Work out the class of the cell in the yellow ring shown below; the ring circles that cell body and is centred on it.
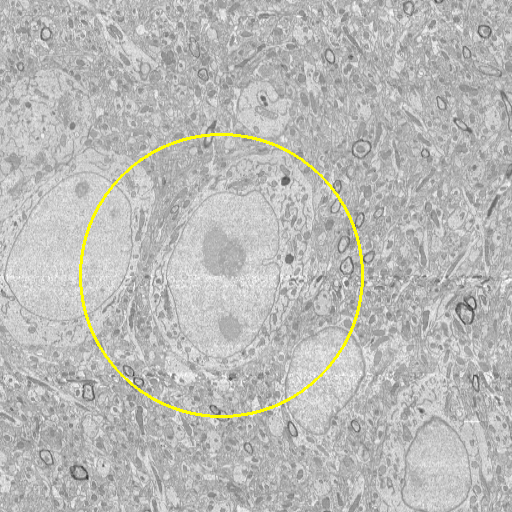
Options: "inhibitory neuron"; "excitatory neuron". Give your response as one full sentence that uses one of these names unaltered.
The body ringed in yellow, right at the ring's centre, is that of an inhibitory neuron.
